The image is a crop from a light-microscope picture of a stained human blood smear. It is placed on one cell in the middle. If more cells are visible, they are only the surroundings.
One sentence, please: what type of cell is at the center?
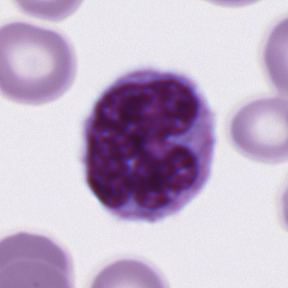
Classification of the middle cell gives a monocyte.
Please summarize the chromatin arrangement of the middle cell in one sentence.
The chromatin within its nucleus forms coarse clumps.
